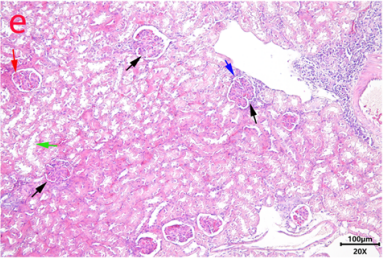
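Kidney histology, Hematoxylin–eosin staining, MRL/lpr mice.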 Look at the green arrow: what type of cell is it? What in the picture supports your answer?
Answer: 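The green arrow points at a tubule whose lumen holds loose cellular material. The tubule lining is pink and irregular. So: renal tubular epithelial cells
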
